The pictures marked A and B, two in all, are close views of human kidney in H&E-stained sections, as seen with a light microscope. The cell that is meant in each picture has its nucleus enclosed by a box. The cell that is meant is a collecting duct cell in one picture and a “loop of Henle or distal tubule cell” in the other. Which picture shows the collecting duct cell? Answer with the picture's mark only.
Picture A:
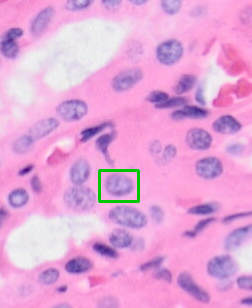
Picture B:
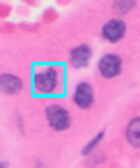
A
